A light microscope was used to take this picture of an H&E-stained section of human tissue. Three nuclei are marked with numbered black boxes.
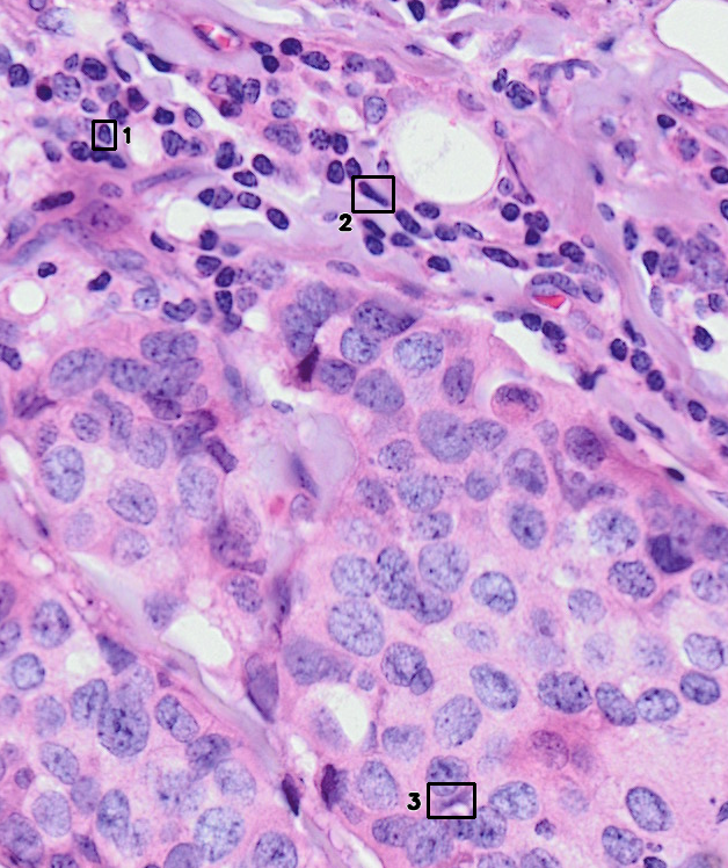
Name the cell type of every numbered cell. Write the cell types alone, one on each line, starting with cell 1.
lymphocyte
lymphocyte
carcinoma cell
